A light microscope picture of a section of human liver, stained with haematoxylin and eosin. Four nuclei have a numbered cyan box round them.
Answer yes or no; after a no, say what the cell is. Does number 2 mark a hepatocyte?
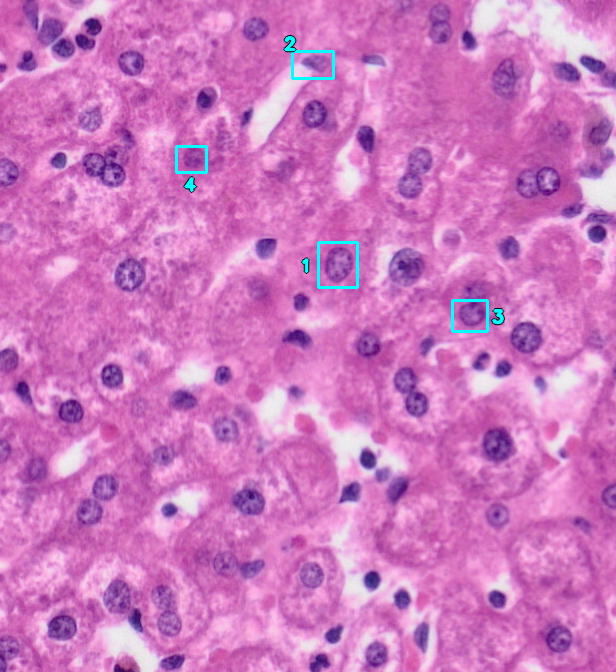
No, it is an endothelial cell.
